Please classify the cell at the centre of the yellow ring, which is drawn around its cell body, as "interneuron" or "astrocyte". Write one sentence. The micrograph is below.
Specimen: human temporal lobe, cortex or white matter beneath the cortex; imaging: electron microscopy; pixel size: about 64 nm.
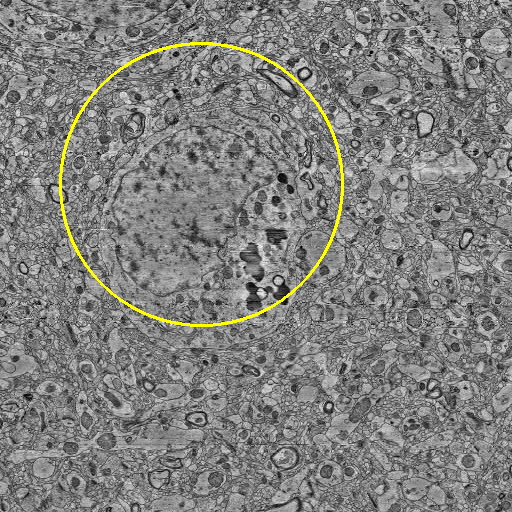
The cell at the ring's centre is classified as an interneuron.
